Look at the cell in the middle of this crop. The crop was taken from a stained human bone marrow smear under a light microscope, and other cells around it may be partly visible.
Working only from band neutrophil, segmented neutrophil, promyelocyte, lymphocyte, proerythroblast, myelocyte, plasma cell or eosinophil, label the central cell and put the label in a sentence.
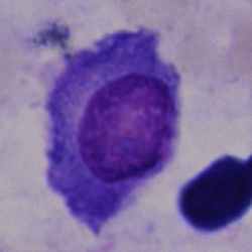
For this crop, the cell in the middle is a plasma cell.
